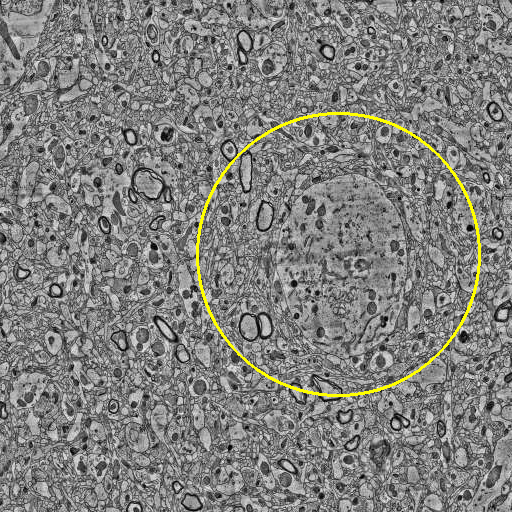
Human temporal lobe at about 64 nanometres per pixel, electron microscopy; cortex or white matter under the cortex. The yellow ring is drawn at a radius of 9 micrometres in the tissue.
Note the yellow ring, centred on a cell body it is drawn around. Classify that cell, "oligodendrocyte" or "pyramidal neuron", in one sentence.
The cell the ring is centred on is a pyramidal neuron.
